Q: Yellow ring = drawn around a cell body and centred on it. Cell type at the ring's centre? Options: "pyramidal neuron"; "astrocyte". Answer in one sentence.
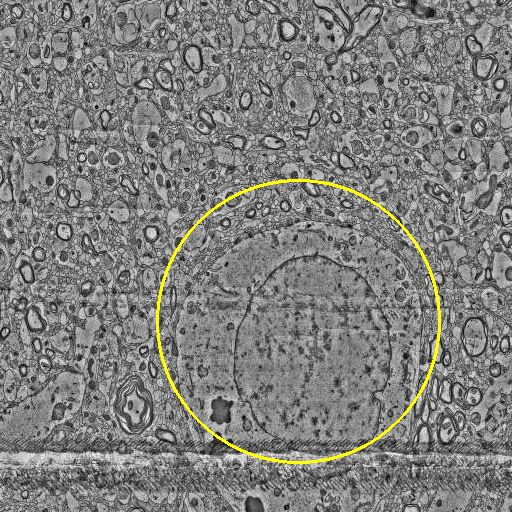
Centred in the ring is a pyramidal neuron.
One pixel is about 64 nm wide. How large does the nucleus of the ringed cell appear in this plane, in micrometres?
In this plane, approximately 14 by 11 micrometers.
